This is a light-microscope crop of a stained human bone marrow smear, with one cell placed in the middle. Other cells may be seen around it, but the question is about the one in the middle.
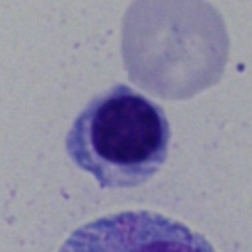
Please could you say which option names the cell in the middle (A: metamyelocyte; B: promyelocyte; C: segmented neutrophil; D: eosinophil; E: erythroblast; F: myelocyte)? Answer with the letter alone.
E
